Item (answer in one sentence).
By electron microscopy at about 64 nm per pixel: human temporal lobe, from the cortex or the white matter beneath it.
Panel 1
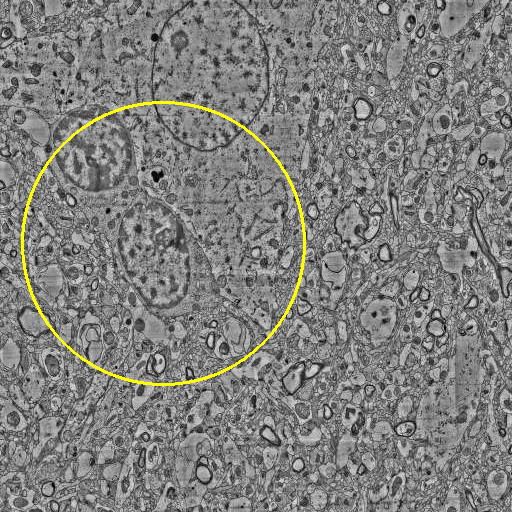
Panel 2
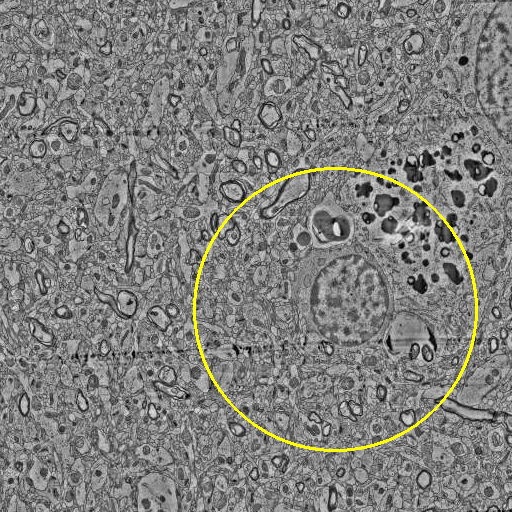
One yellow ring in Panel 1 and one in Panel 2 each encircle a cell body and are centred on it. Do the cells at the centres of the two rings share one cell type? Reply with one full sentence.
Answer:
Yes, Panel 1 and Panel 2 show cells of one type at the centres of their rings.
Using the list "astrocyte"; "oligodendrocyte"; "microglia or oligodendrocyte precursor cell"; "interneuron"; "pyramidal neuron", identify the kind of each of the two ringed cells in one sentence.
Both the first and the second picture show an oligodendrocyte in the ring.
